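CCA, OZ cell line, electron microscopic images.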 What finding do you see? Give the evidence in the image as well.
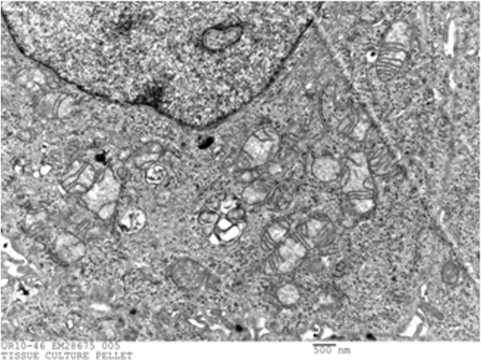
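Several mitochondria are pale and enlarged. Their inner folds are sparse, broken or irregular, with clear spaces in the matrix.
Hence: Alterations of Cristae.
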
